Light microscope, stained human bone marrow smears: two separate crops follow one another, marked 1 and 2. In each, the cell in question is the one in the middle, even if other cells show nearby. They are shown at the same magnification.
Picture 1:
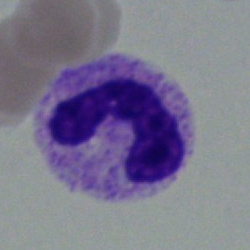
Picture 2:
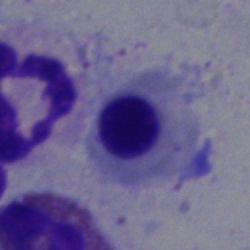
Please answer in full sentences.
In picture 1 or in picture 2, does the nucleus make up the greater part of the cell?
It is the cell in picture 2 that is filled more by its nucleus.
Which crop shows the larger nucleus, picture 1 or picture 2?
The nucleus in picture 1 is larger, with about 2.5 times the area of the one in picture 2.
